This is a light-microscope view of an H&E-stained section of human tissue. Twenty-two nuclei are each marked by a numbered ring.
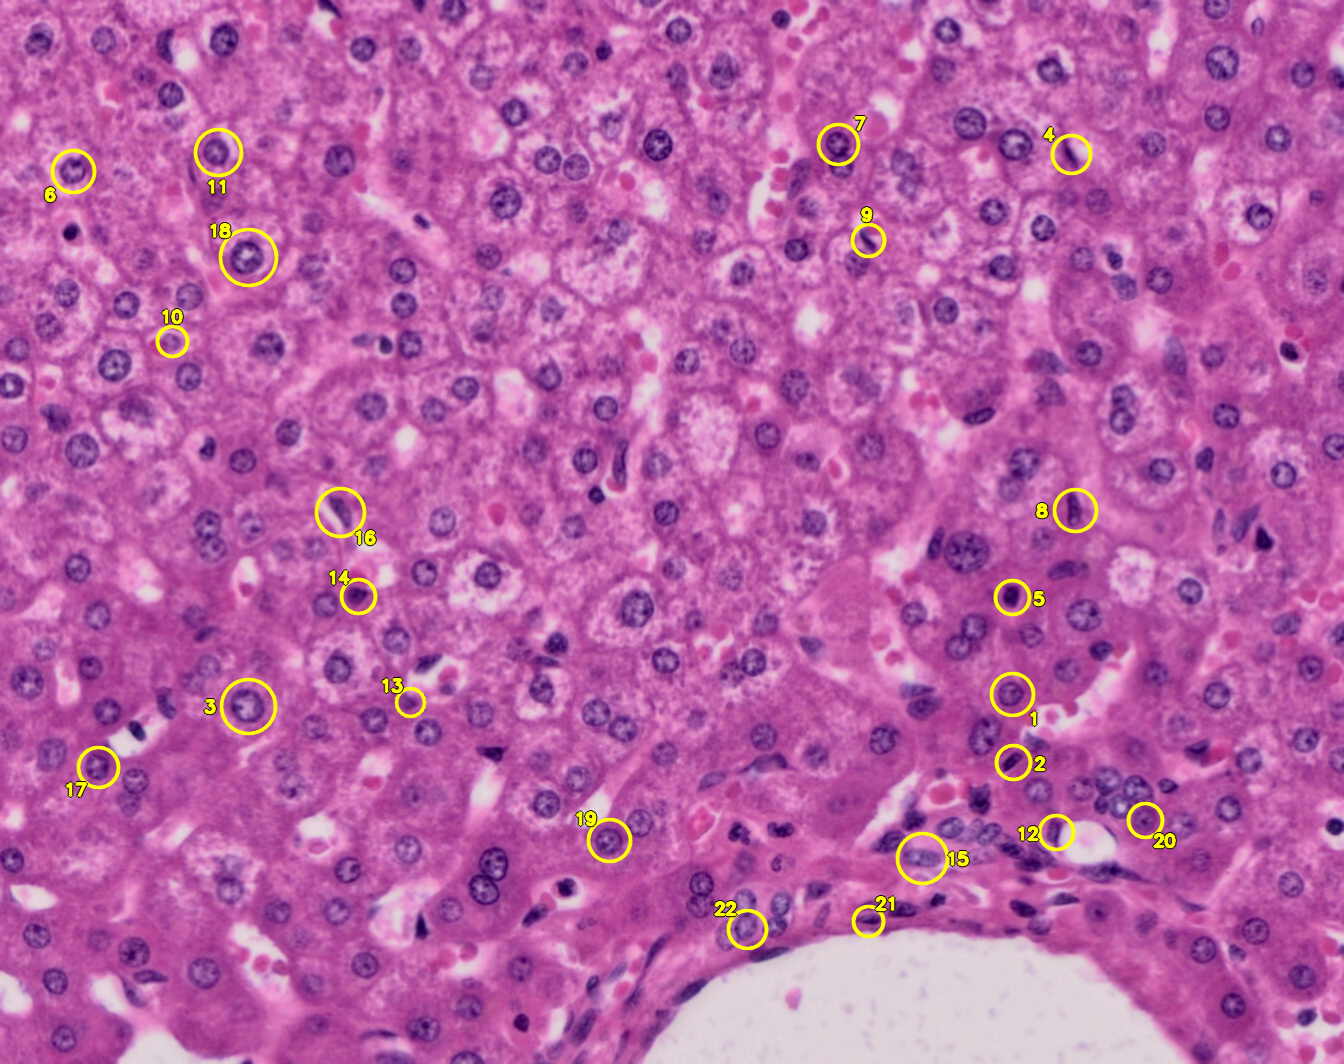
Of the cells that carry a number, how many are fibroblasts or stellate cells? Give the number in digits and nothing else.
6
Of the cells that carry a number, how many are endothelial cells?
2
